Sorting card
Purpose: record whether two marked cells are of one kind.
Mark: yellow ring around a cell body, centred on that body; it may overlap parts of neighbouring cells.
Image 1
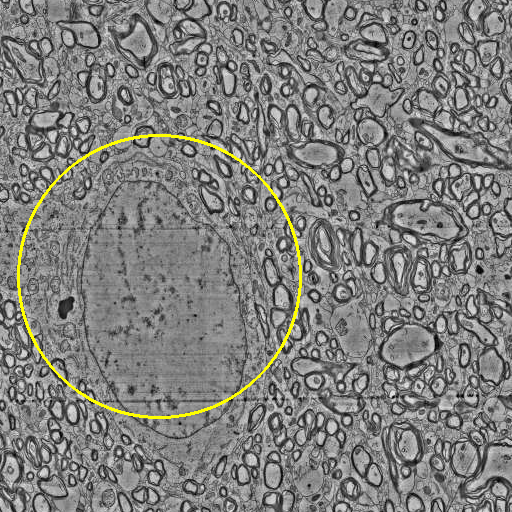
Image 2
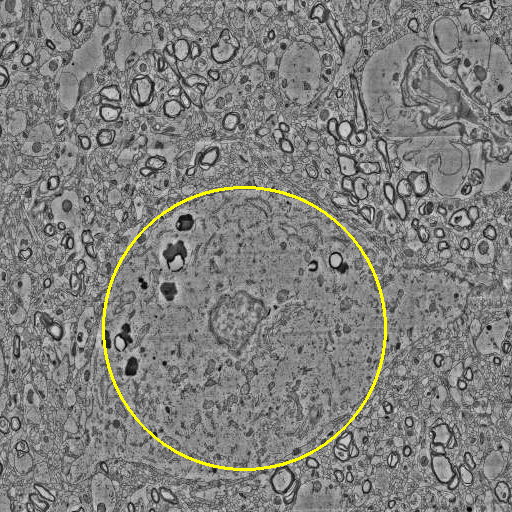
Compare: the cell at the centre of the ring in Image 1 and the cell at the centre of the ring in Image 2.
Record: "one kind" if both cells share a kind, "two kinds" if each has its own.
one kind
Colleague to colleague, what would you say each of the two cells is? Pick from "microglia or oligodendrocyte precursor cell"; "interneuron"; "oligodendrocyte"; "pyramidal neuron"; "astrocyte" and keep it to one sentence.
Each cell at the centre of a ring is a pyramidal neuron.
